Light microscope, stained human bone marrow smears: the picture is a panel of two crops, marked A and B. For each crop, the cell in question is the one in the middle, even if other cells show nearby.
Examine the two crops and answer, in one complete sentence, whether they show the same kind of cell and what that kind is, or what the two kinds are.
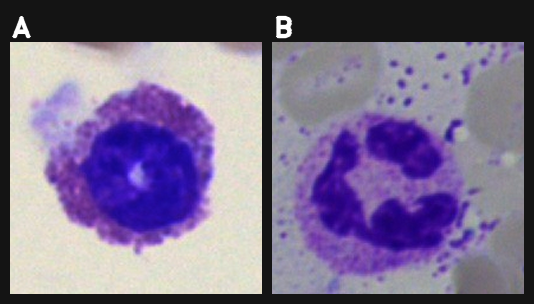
No, in crop B the central cell is a segmented neutrophil, and in crop A it is an eosinophil.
